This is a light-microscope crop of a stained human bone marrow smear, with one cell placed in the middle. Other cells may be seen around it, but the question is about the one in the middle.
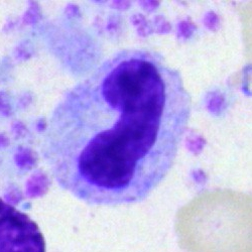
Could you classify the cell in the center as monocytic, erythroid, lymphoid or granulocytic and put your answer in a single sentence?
The cell at the center of the crop is assigned granulocytic lineage.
